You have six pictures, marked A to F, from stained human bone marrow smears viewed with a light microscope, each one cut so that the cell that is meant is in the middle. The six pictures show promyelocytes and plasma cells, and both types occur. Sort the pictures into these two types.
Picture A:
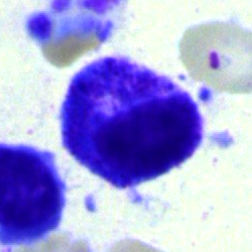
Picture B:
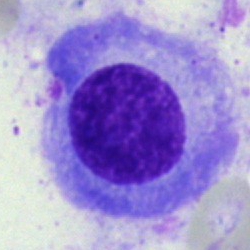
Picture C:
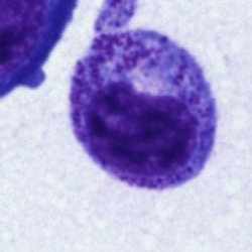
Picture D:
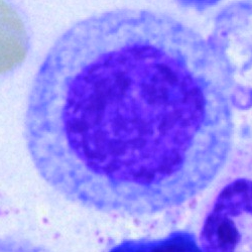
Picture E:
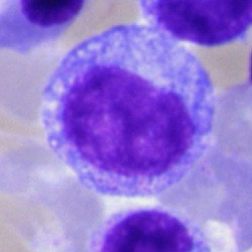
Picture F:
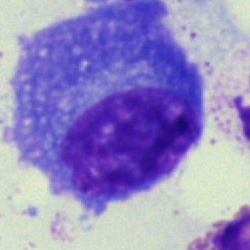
A: promyelocyte
B: plasma cell
C: promyelocyte
D: promyelocyte
E: promyelocyte
F: plasma cell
